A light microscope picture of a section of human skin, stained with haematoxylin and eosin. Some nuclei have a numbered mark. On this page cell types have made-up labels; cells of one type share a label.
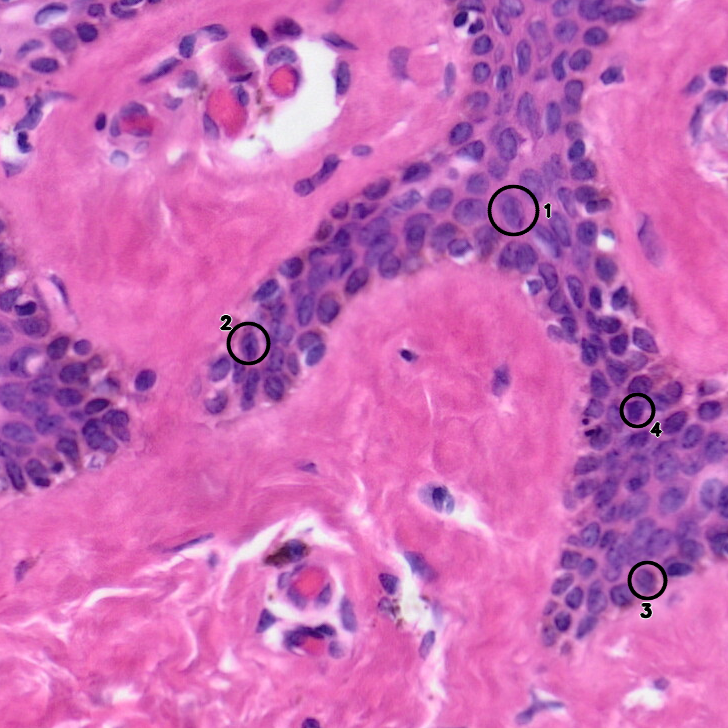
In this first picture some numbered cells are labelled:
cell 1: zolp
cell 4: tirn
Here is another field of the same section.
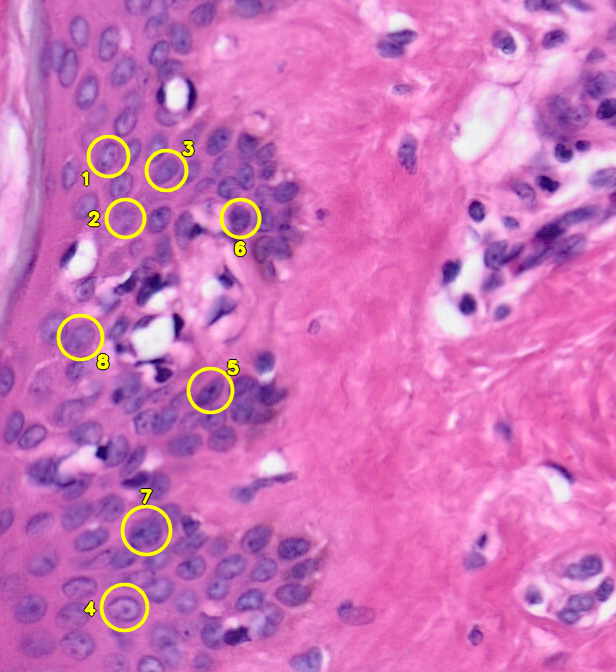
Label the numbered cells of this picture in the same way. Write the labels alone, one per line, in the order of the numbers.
zolp
zolp
zolp
zolp
tirn
tirn
tirn
zolp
